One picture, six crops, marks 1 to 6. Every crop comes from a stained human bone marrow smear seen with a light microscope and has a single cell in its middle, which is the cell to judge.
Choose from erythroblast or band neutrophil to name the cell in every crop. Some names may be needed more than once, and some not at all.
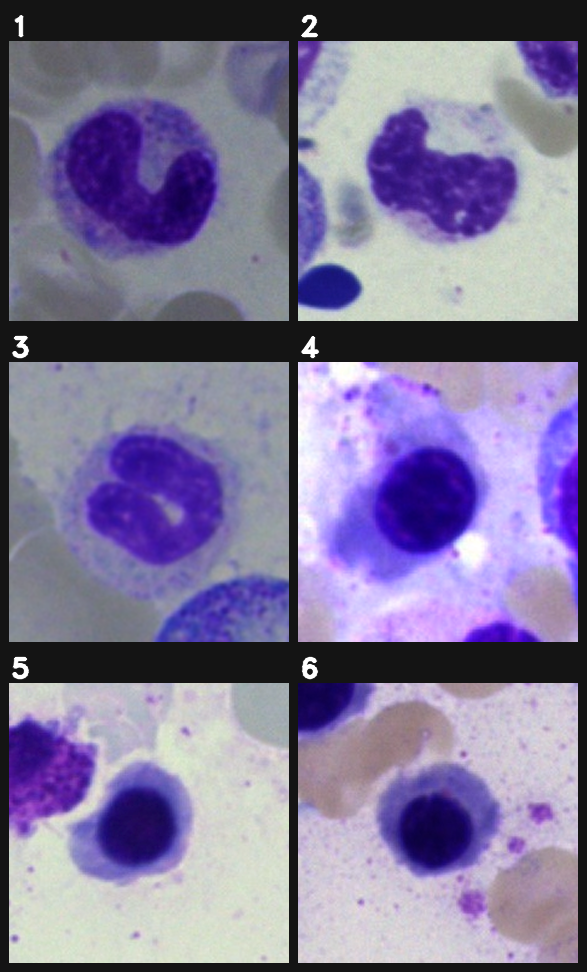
1: band neutrophil
2: band neutrophil
3: band neutrophil
4: erythroblast
5: erythroblast
6: erythroblast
